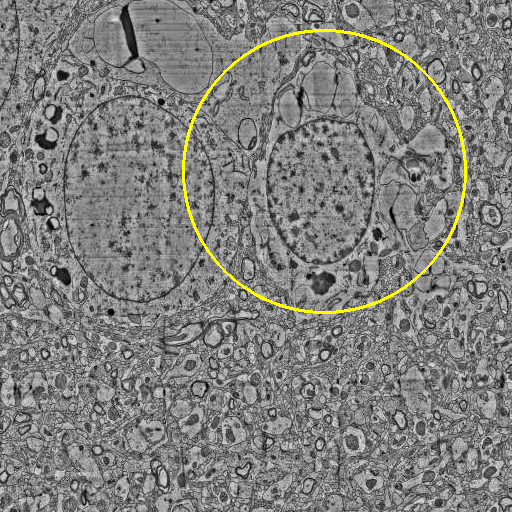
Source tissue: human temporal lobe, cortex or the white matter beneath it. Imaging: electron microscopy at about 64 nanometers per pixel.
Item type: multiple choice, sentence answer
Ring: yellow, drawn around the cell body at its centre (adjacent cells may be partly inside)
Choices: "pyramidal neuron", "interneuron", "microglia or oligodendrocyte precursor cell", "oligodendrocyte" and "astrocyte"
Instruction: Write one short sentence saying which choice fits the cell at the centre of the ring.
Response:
This ring is drawn around an astrocyte.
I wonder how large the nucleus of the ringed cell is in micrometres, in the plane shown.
In this plane, about 9 micrometres in length and 7 in width.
